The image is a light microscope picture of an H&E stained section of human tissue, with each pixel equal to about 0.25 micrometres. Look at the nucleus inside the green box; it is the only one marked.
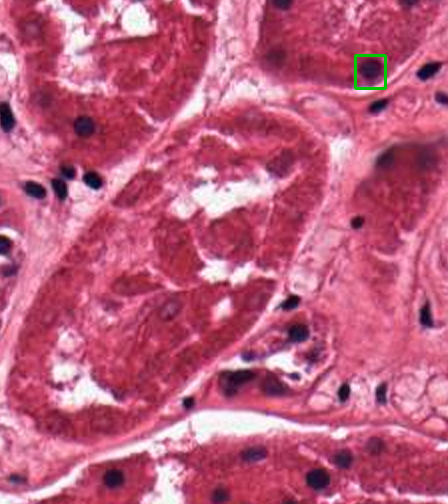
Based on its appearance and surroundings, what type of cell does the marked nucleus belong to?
proximal tubule cell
